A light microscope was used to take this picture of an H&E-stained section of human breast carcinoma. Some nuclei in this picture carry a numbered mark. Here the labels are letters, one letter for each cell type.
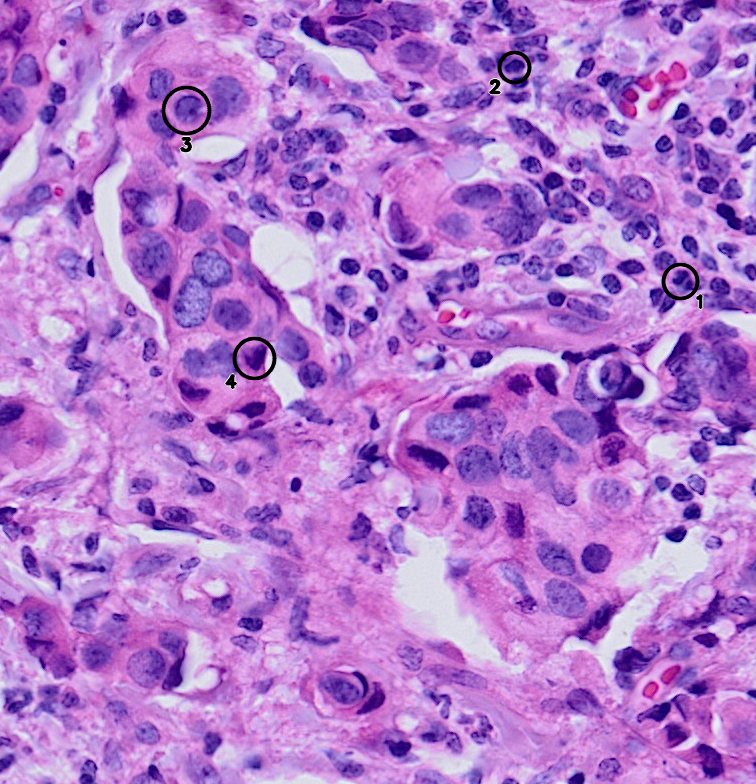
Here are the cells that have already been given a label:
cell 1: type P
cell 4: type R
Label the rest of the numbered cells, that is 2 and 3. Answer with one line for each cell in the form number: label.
2: type P
3: type R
